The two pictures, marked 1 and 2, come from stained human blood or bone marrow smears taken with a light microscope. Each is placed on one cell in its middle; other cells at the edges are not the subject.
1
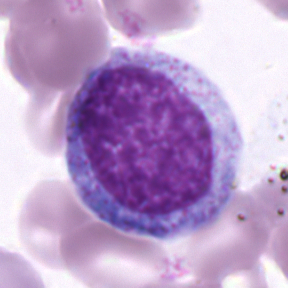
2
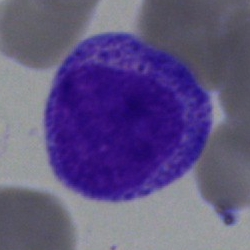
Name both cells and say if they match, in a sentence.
Yes, the two crops show promyelocytes, one cell each.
